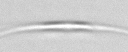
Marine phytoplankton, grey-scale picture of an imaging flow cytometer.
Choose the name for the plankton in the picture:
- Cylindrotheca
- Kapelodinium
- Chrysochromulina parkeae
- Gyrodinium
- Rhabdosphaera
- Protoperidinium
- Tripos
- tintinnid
Cylindrotheca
